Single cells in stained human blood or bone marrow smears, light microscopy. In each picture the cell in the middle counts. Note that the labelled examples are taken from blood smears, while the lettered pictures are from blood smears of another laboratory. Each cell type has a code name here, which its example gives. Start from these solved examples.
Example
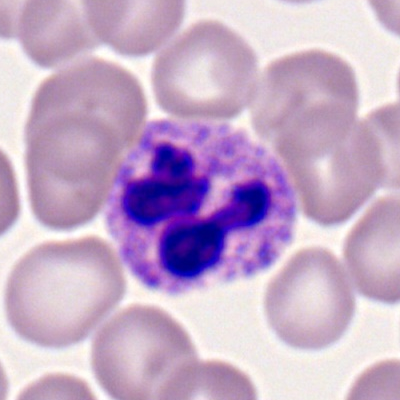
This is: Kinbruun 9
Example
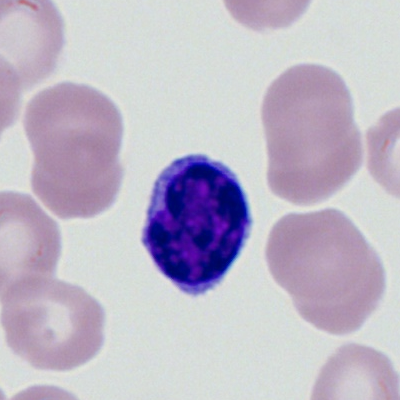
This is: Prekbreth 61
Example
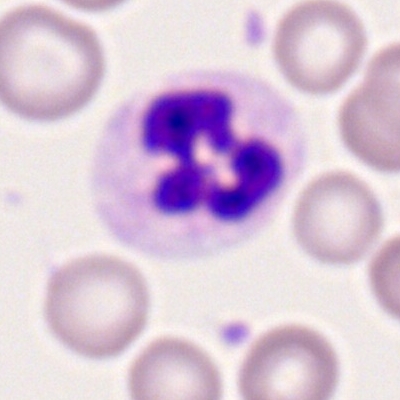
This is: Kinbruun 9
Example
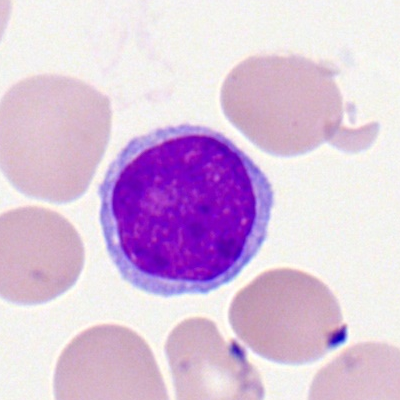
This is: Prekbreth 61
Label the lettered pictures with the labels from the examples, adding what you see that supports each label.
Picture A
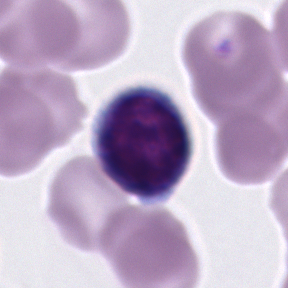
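Prekbreth 61. Reason: The cytoplasm forms only a very thin rim around the nucleus.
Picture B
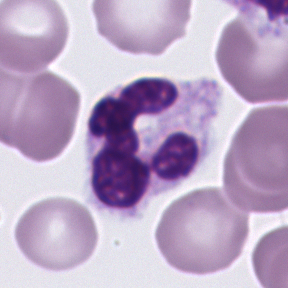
Kinbruun 9. Reason: The nucleus is divided into several distinct lobes.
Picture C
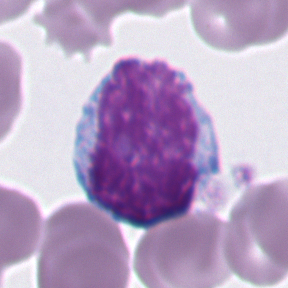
Prekbreth 61. Reason: The cytoplasm forms only a narrow rim around the nucleus.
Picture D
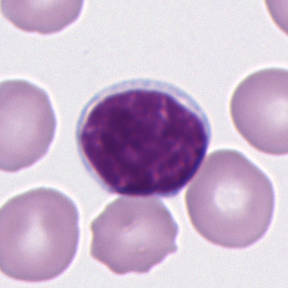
Prekbreth 61. Reason: The cytoplasm forms only a thin rim around the nucleus.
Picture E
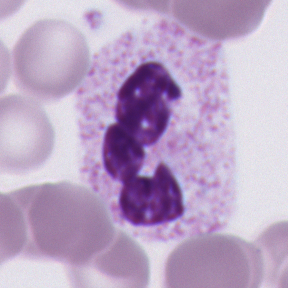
Kinbruun 9. Reason: Abundant pale pink cytoplasm surrounds the nucleus on all sides.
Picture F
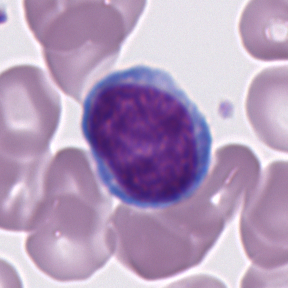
Prekbreth 61. Reason: The cytoplasm forms only a thin rim around the nucleus.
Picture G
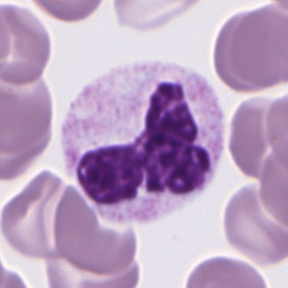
Kinbruun 9. Reason: The cytoplasm is pale pink.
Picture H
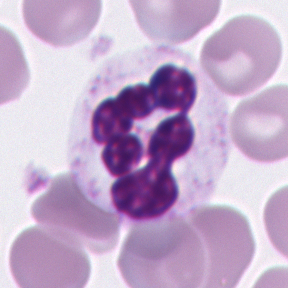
Kinbruun 9. Reason: The cytoplasm is abundant and pale pinkish-lilac.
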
